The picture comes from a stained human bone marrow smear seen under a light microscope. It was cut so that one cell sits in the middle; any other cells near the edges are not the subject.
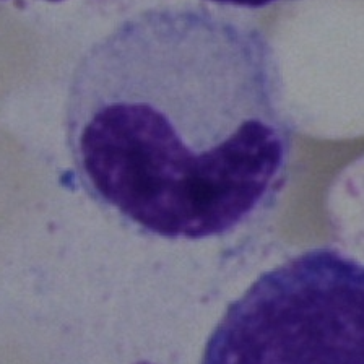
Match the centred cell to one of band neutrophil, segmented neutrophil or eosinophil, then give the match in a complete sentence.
At the center of the crop sits a band neutrophil.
